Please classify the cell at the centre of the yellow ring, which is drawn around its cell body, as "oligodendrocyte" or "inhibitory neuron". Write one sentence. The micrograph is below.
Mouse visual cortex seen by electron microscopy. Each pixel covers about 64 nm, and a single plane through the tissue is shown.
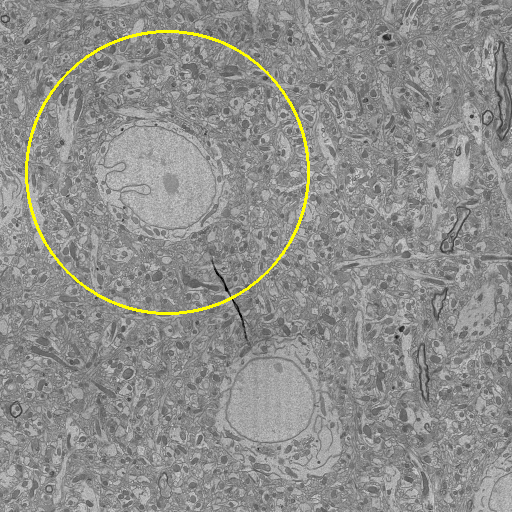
The cell at the ring's centre is classified as an inhibitory neuron.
